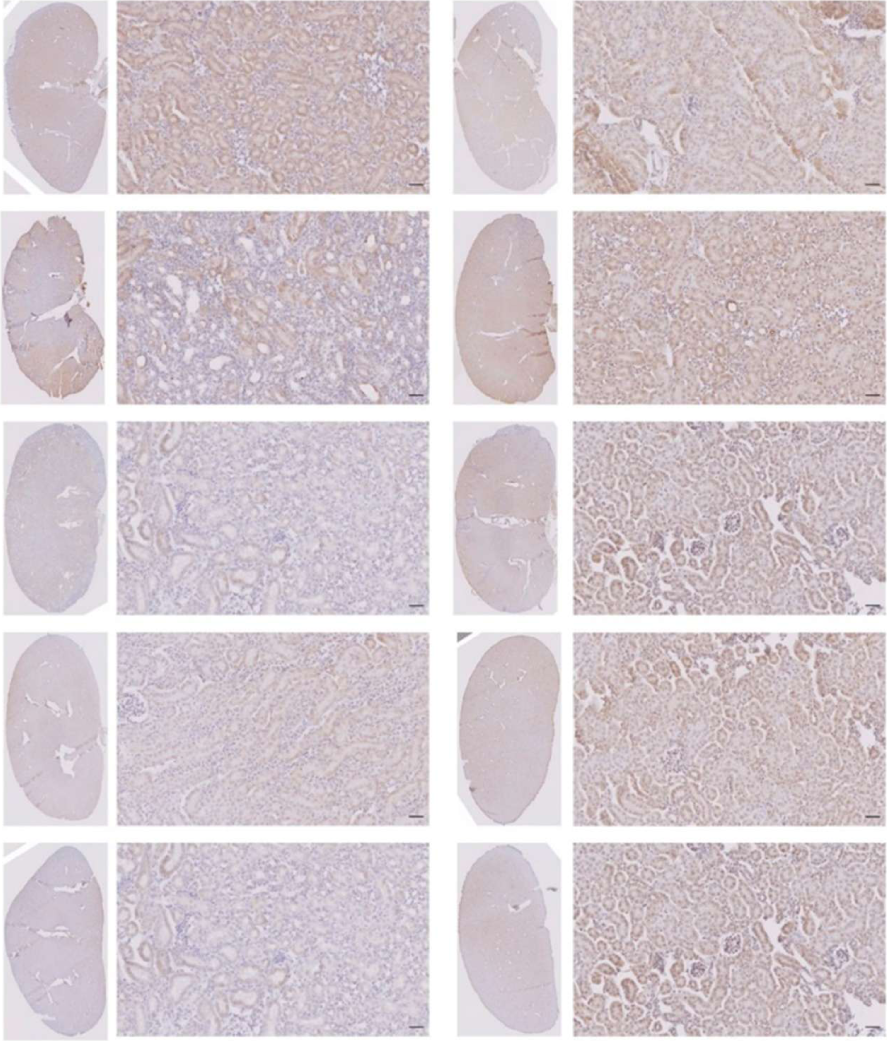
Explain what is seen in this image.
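This is a grid of organ sections with whole, bean-shaped cross-sections at low power beside higher-power fields. The higher-power fields are crowded with round and elongated profiles of tubules. The tubules are lined by epithelial cells with light brown cytoplasm and small blue nuclei. The brown staining is stronger in some fields than in others, and some fields look mostly bluish with only faint brown.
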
